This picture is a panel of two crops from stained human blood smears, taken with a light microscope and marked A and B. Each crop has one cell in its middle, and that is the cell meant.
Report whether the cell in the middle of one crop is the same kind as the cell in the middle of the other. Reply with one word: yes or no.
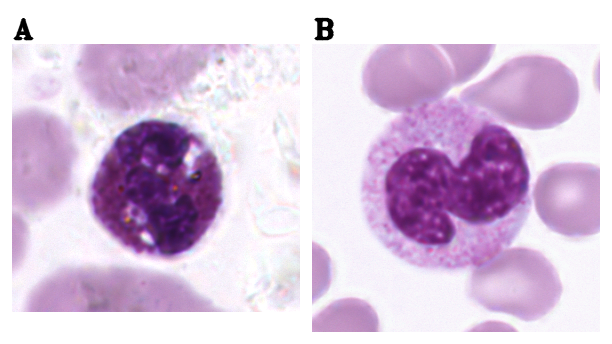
no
